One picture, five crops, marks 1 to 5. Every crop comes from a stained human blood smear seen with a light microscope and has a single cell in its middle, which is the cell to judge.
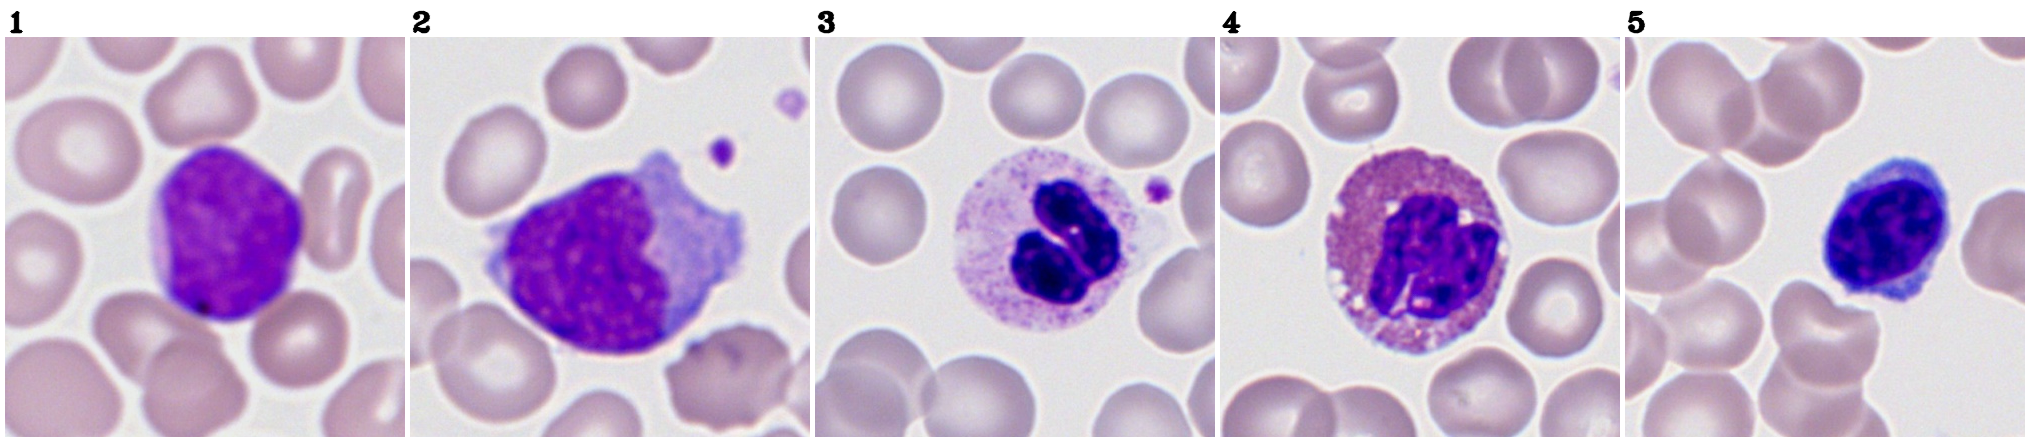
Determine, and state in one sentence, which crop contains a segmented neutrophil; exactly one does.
So the crop with a segmented neutrophil at its center is crop 3.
